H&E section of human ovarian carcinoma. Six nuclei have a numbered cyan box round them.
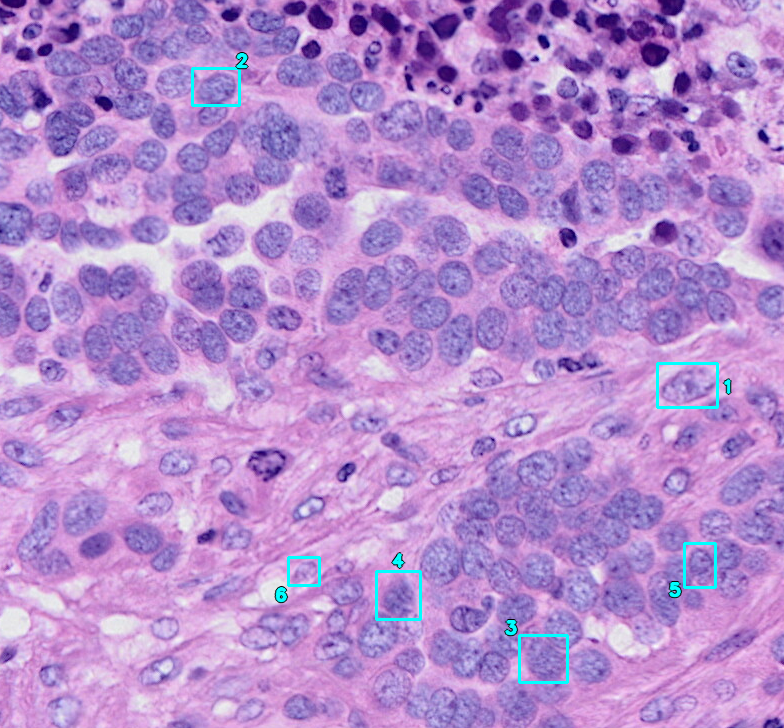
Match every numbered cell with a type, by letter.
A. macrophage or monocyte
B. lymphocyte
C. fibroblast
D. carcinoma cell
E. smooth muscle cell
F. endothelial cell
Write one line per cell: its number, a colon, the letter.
1: C
2: D
3: D
4: D
5: D
6: C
